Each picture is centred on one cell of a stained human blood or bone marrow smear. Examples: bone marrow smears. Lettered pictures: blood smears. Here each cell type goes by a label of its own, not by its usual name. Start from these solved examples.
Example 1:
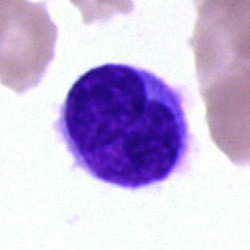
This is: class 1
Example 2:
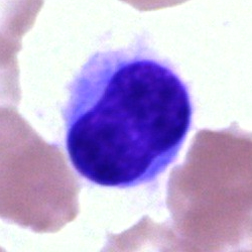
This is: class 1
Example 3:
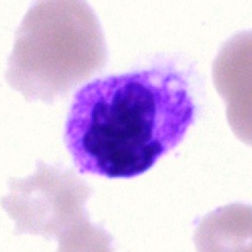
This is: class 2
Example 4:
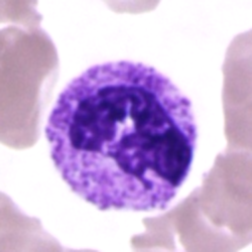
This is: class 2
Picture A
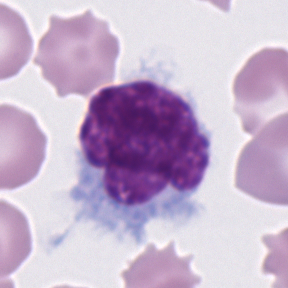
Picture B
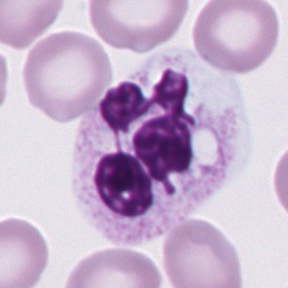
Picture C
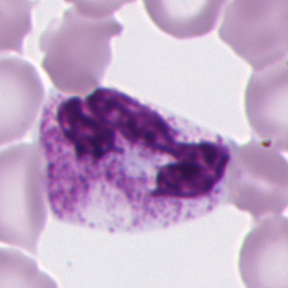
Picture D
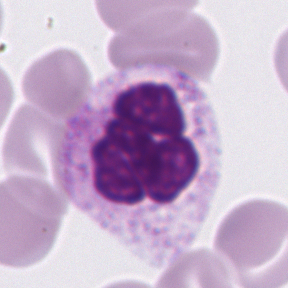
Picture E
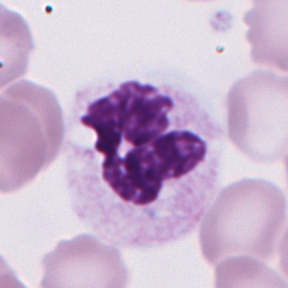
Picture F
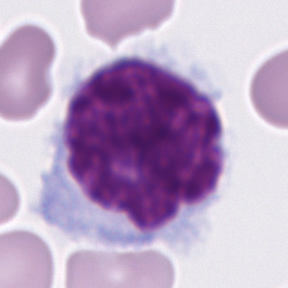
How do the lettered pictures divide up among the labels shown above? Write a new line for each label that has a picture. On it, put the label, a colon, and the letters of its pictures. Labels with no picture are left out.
class 1: A, F
class 2: B, C, D, E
